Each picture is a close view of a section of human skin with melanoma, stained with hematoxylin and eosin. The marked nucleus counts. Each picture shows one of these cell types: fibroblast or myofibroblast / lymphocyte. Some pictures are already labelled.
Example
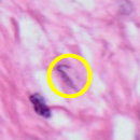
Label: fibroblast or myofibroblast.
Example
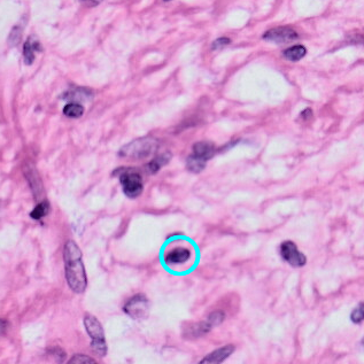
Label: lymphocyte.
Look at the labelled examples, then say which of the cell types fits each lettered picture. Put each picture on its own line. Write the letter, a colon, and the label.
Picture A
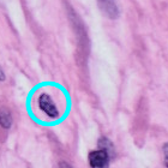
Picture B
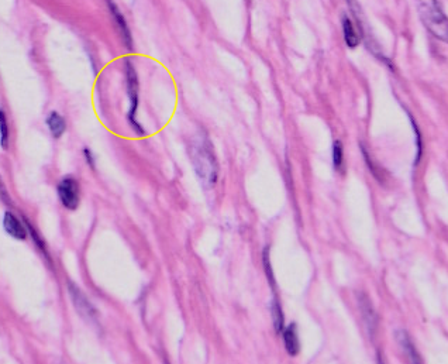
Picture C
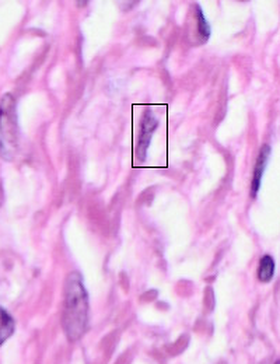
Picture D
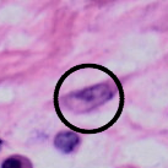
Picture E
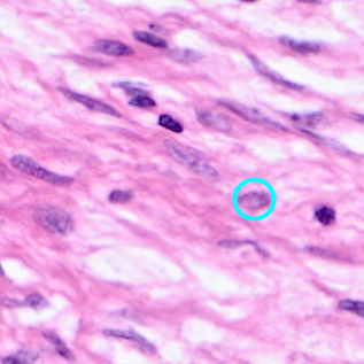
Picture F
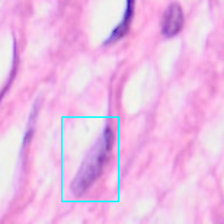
A: lymphocyte.
B: fibroblast or myofibroblast.
C: fibroblast or myofibroblast.
D: fibroblast or myofibroblast.
E: fibroblast or myofibroblast.
F: fibroblast or myofibroblast.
